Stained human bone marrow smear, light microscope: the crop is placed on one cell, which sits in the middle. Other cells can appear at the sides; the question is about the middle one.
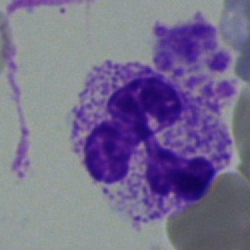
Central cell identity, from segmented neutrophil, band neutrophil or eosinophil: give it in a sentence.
Seen at the centre of the crop is a segmented neutrophil.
